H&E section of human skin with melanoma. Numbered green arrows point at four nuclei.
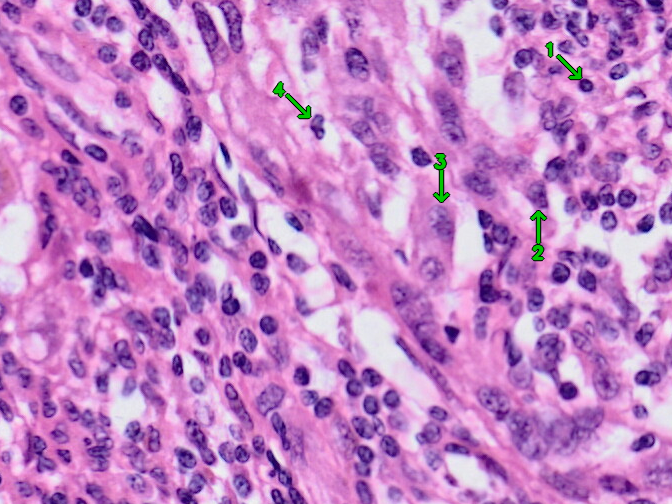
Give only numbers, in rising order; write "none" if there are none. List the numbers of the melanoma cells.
2, 3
